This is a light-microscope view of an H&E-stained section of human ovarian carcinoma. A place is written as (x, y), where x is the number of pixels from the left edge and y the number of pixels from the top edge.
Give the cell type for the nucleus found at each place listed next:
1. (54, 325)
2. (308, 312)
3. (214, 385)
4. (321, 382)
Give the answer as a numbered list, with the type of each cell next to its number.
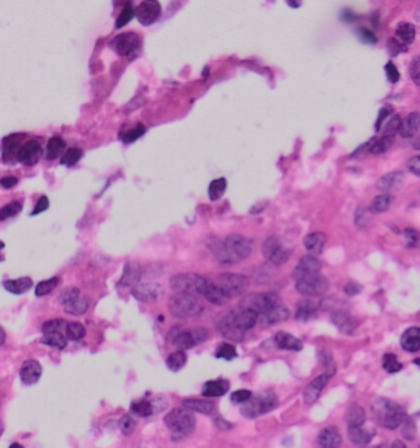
1. carcinoma cell
2. carcinoma cell
3. carcinoma cell
4. endothelial cell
